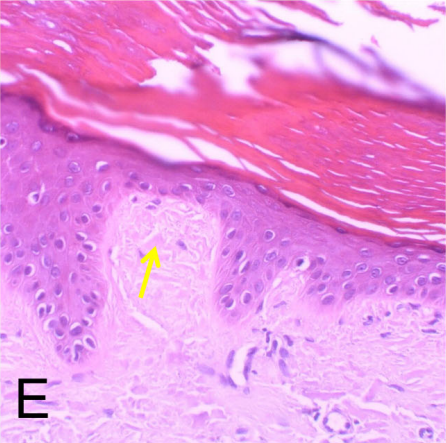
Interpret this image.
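A section of skin shows a thick, compact, bright red cornified layer lying on top of the epidermis. Below it the epidermis is made of keratinocytes with round nuclei and pink cytoplasm, forming rete ridges that project downward. Between two ridges a widened dermal papilla contains pale pink, amorphous, cell-poor material. The upper dermis beneath holds loose pink connective tissue with a few small vessels.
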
